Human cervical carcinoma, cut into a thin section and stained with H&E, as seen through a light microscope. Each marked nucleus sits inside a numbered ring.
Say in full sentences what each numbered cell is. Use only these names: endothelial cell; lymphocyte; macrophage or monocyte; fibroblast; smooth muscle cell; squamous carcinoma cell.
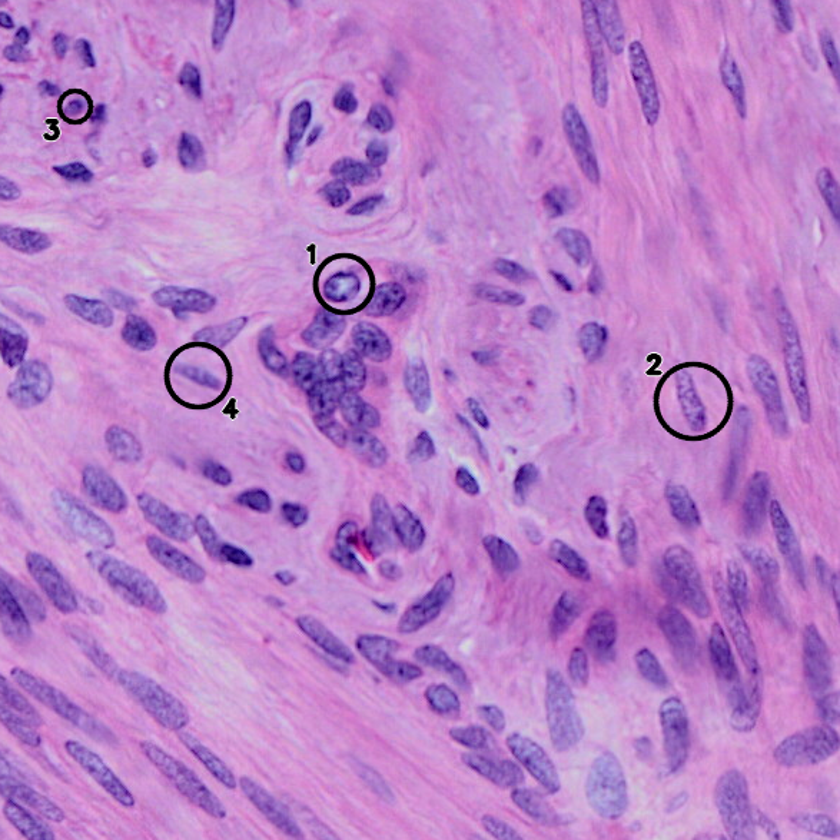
Cell 1 is an endothelial cell, cell 2 is a fibroblast, cell 3 is a smooth muscle cell and cell 4 is a fibroblast.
